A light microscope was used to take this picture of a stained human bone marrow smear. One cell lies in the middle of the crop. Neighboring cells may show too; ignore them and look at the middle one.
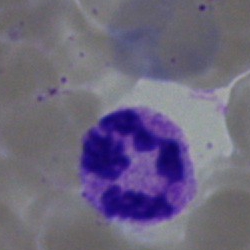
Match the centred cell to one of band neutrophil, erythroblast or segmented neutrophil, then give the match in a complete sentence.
The cell in the middle of the field of view is a segmented neutrophil.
